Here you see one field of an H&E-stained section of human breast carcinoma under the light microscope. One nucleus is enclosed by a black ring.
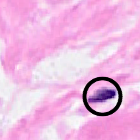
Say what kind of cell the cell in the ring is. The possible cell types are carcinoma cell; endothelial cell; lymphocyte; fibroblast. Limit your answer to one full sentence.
As for its identity, the cell in the ring is a fibroblast.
